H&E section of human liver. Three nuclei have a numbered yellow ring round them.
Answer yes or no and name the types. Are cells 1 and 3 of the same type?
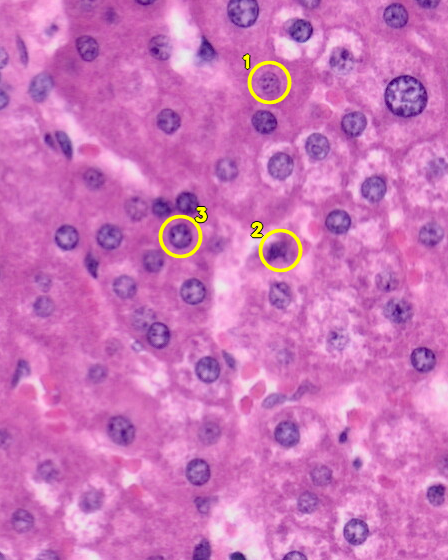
Yes, both are hepatocytes.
